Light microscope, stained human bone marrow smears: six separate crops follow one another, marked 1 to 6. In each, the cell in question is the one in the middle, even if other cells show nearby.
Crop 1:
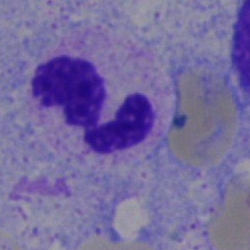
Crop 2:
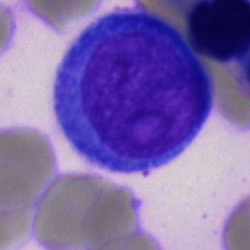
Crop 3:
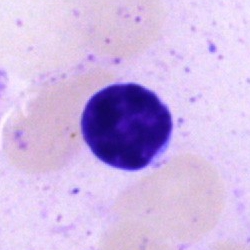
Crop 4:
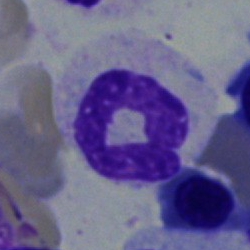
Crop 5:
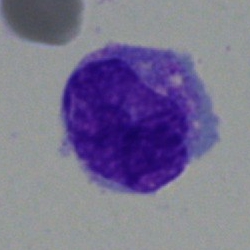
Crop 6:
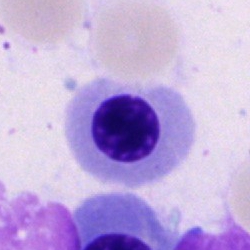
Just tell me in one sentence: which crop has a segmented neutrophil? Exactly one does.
Crop 1 represents a segmented neutrophil, while the other crops do not.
